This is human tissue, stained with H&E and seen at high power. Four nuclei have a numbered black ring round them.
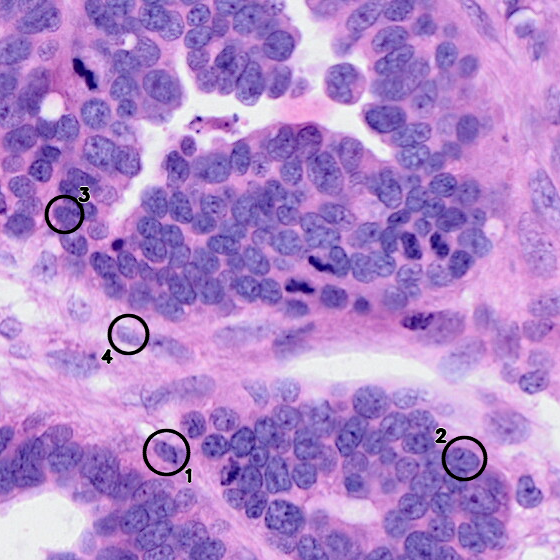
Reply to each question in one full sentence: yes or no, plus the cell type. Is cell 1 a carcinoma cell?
No, the identification of cell 1 as a carcinoma cell is incorrect; it is a macrophage or monocyte.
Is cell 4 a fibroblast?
Yes, the cell that goes by number 4 is a fibroblast.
